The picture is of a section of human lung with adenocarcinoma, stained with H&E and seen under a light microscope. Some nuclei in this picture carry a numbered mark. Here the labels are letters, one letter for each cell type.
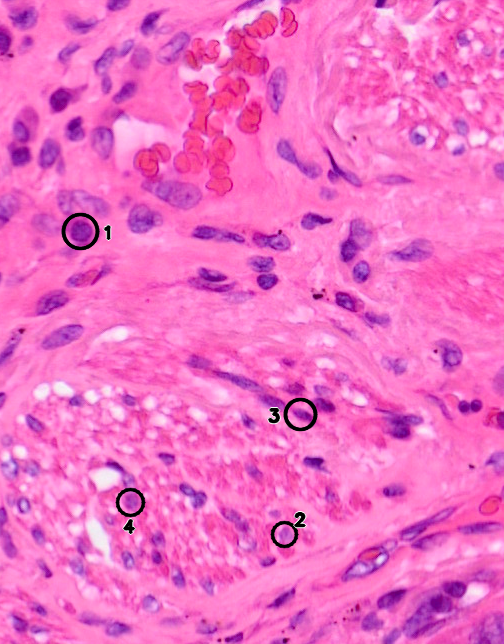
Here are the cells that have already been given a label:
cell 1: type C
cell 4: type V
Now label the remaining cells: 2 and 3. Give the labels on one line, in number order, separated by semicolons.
type V; type V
